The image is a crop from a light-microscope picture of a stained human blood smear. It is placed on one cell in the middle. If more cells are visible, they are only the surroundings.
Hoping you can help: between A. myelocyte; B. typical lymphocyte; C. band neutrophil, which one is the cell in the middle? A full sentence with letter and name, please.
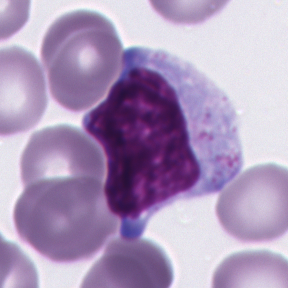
That middle cell is a typical lymphocyte, and option B is therefore correct.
